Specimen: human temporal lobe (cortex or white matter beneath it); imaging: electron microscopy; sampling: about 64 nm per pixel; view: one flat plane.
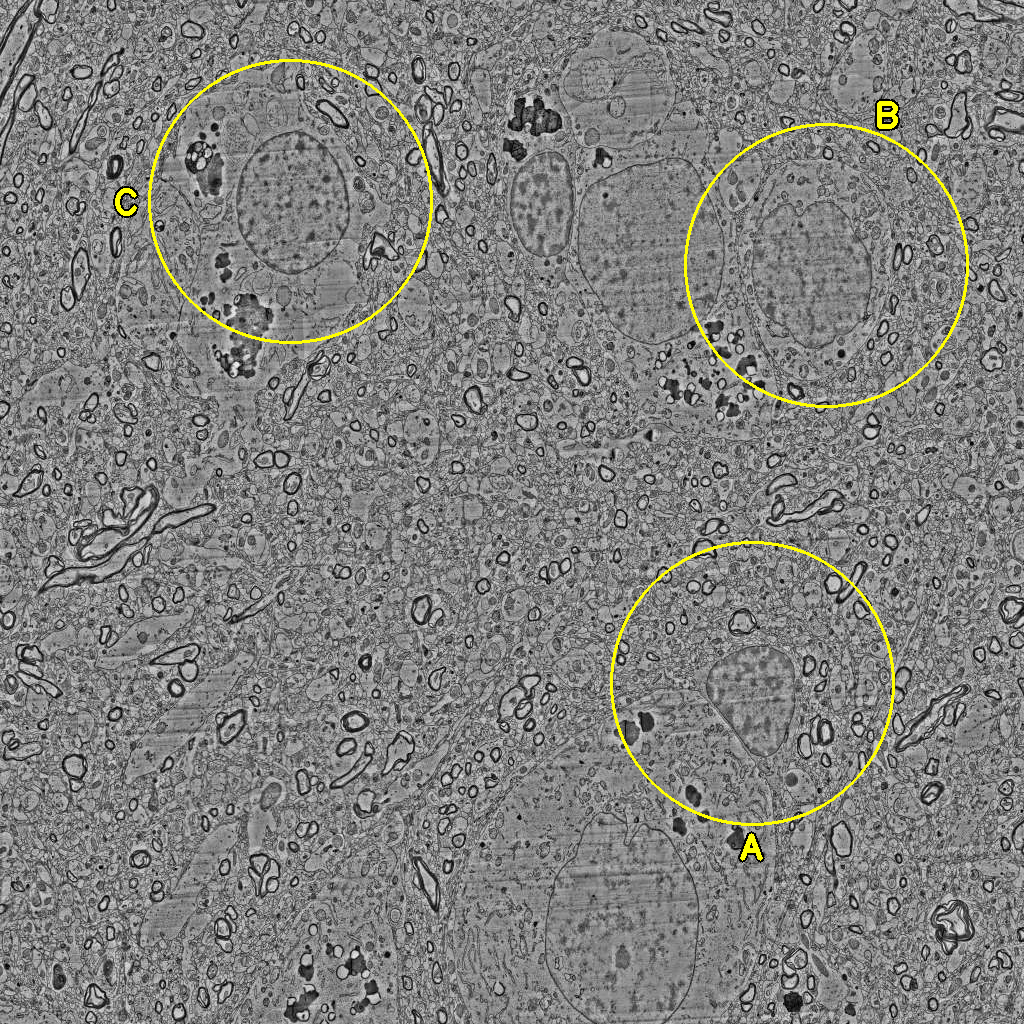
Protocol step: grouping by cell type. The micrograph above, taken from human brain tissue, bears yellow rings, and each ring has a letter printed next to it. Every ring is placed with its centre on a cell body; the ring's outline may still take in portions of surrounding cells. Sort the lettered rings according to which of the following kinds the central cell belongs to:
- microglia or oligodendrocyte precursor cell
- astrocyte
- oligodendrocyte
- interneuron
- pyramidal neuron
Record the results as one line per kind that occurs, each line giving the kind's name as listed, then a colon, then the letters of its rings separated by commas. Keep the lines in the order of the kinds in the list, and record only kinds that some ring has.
astrocyte: C
oligodendrocyte: A
interneuron: B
